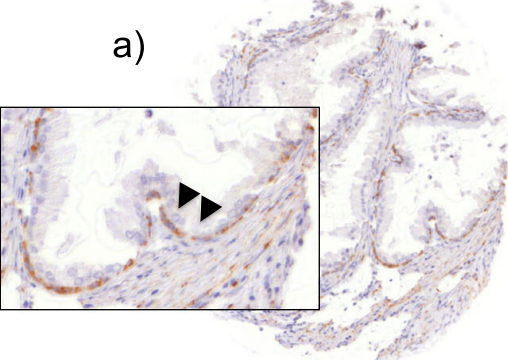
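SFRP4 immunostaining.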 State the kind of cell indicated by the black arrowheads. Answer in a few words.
Basal cell.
